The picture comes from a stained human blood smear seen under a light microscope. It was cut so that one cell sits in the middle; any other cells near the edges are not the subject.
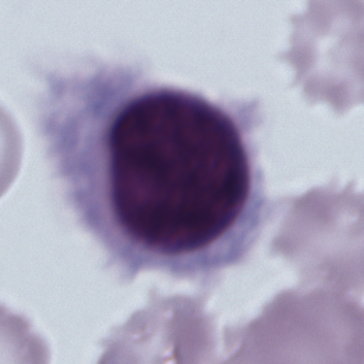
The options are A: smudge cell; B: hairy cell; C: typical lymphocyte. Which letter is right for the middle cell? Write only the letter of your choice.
B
